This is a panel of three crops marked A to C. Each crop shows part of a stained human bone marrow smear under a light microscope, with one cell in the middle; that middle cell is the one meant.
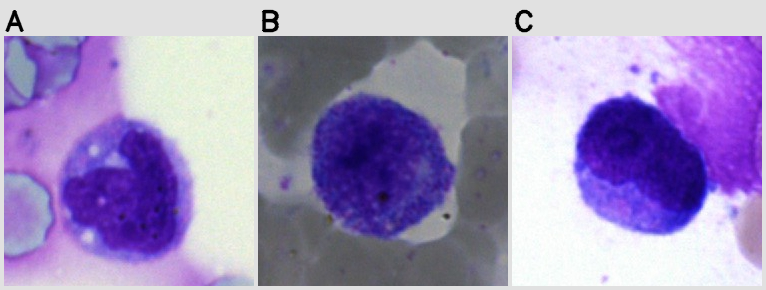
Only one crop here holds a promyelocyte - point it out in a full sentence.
Crop B is the one that shows a promyelocyte.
